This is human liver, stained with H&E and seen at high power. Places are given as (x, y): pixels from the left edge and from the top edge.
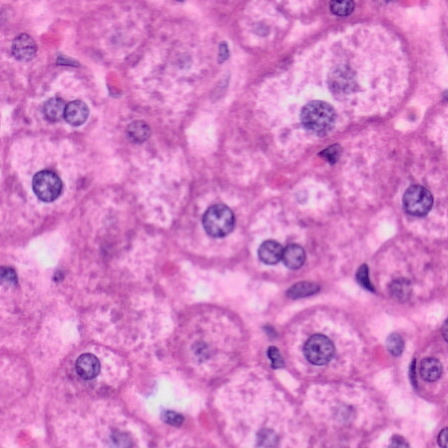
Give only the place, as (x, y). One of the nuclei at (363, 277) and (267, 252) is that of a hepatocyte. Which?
(267, 252)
